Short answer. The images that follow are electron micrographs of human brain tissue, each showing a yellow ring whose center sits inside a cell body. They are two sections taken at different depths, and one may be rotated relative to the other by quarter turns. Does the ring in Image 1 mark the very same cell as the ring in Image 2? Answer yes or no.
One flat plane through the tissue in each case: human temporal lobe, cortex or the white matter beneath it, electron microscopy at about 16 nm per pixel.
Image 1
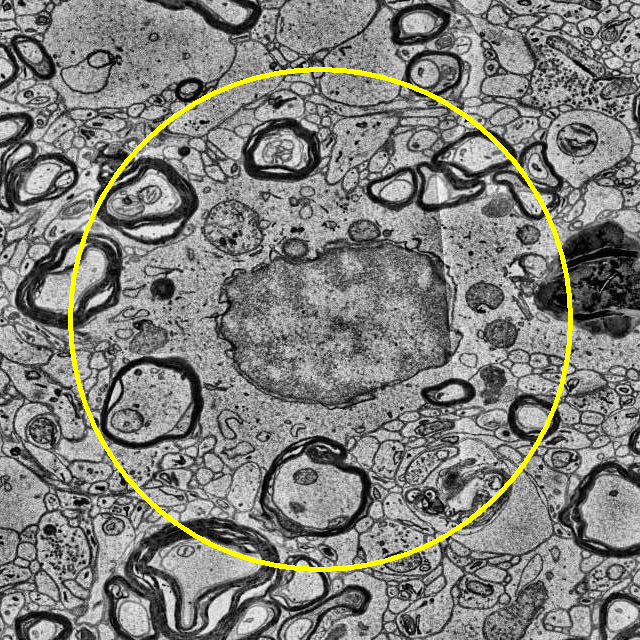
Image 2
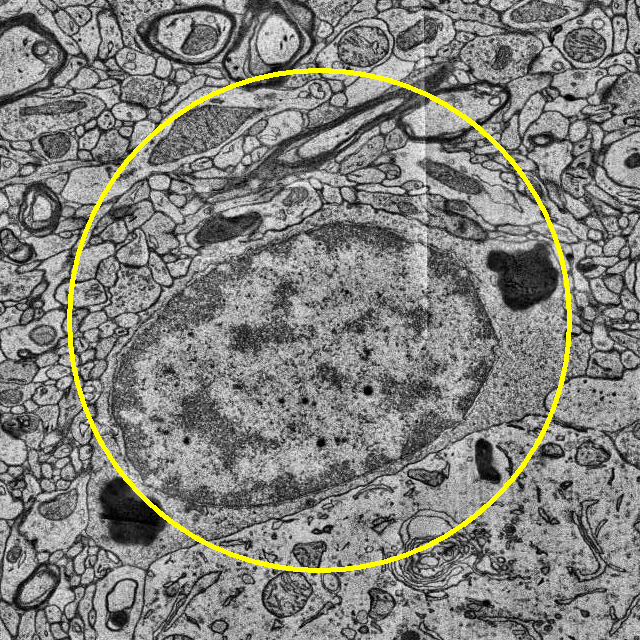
no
